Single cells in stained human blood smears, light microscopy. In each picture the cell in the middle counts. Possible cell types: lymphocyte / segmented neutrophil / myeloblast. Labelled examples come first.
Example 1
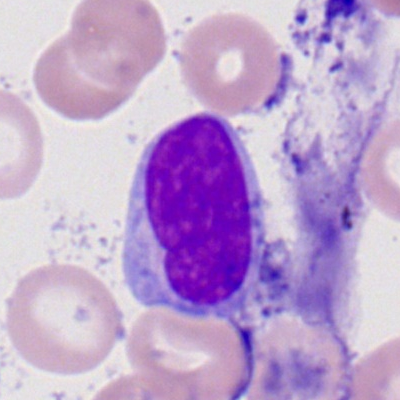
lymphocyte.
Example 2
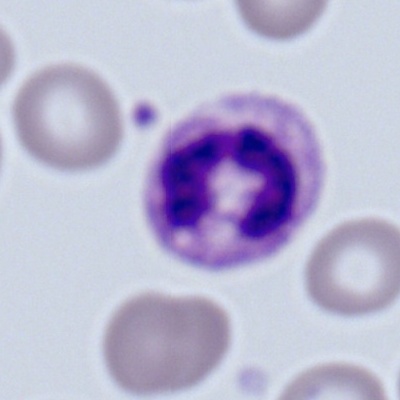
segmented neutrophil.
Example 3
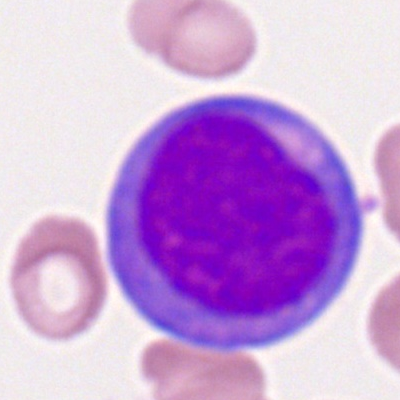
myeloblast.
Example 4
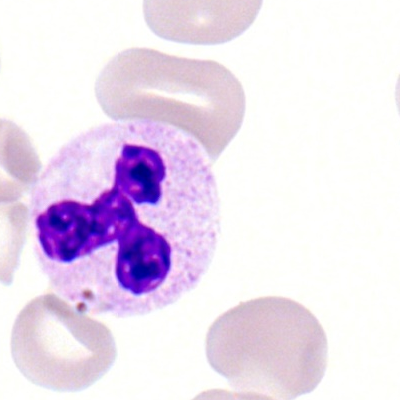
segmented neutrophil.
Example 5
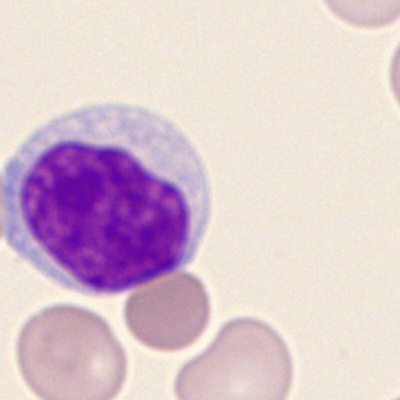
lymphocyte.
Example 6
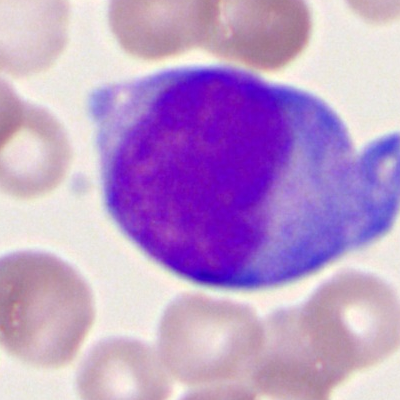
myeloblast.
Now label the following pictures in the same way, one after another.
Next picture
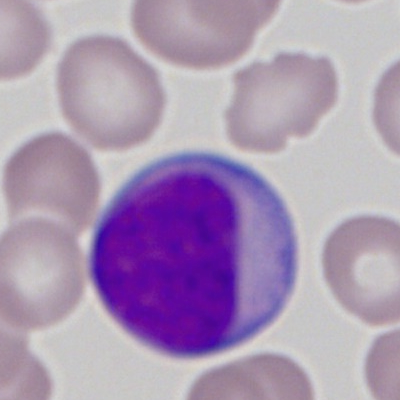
myeloblast.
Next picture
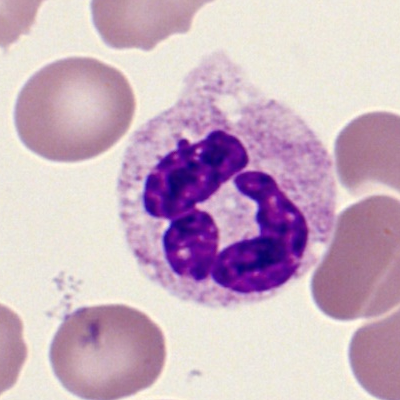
segmented neutrophil.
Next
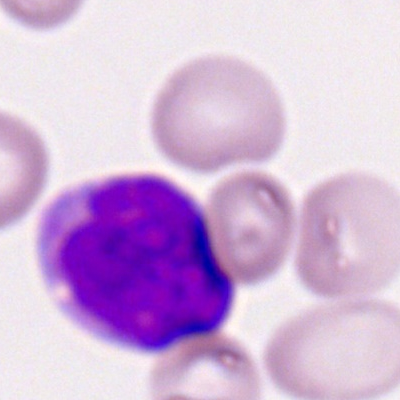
myeloblast.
